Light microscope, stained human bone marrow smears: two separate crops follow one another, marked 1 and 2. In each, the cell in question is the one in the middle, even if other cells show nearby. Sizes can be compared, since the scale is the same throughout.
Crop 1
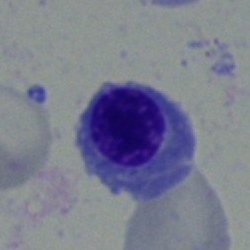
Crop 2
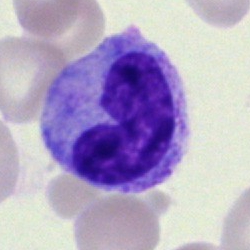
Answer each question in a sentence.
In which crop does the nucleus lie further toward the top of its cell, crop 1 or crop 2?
The nucleus in crop 1 lies further toward the top of its cell.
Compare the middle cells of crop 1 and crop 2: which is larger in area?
Crop 2 holds the larger cell; it covers about 1.5 times the area of the cell in crop 1.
